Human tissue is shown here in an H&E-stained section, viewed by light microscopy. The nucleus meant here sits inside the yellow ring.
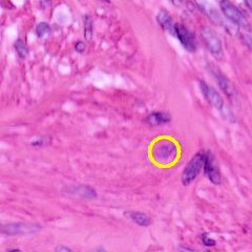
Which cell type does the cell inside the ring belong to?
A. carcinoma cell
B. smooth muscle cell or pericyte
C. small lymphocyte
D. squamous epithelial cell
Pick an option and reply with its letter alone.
B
